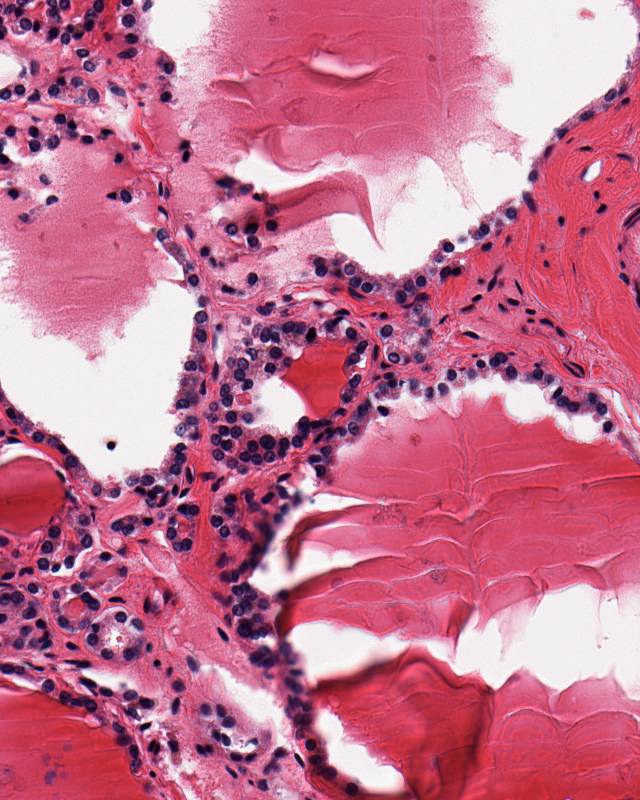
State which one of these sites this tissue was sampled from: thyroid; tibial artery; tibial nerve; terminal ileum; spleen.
thyroid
